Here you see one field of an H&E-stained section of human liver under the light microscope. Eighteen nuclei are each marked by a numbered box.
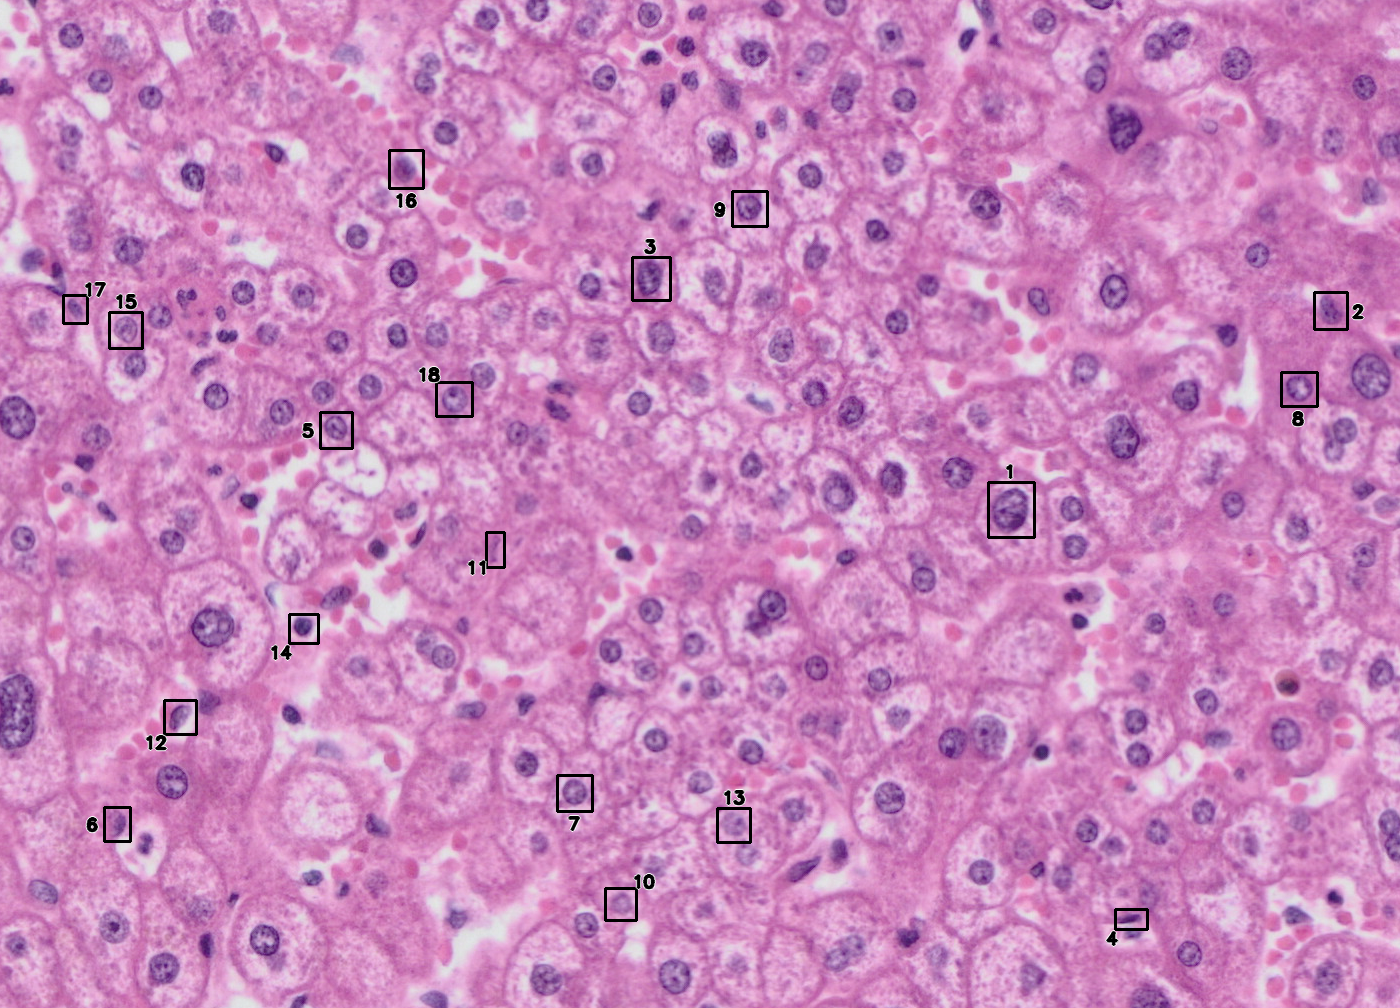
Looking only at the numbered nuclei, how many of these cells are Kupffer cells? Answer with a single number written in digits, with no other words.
1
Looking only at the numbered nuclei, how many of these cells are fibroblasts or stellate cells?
1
